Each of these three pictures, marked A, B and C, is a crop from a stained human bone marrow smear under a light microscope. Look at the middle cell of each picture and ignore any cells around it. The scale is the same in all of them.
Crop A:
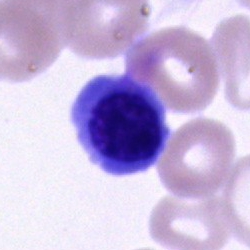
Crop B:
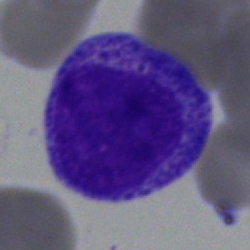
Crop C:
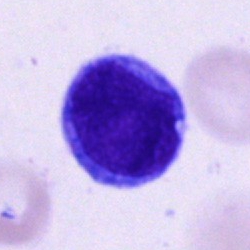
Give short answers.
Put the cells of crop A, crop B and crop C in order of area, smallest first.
A, C, B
